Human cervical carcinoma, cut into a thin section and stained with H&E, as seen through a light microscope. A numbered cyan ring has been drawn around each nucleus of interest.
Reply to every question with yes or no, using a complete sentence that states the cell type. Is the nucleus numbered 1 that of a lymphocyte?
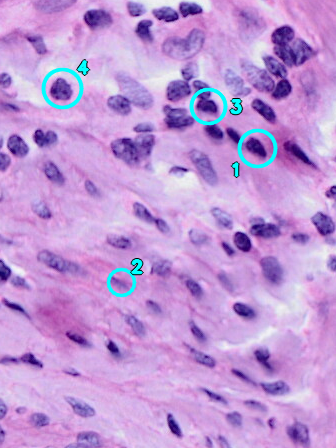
Yes, of the numbered cells, number 1 is a lymphocyte.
